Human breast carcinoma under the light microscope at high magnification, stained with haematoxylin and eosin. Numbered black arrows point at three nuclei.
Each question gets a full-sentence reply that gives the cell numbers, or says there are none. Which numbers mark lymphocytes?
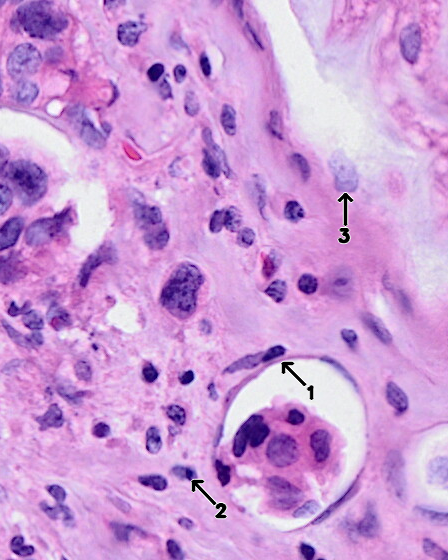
The cells assigned the numbers 1 and 2 are lymphocytes.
